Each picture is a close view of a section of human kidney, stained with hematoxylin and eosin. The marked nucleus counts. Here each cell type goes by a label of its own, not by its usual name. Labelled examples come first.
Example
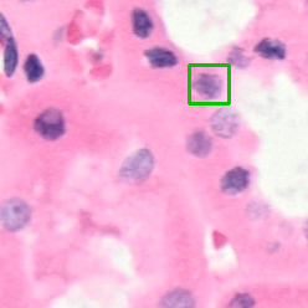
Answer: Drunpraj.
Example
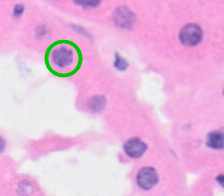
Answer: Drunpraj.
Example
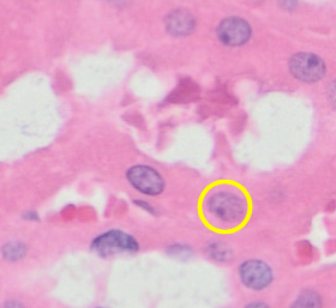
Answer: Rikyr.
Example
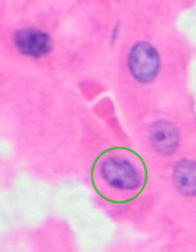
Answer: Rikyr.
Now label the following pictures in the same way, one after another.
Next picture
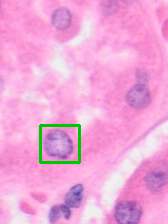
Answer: Rikyr.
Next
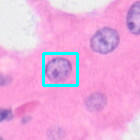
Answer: Rikyr.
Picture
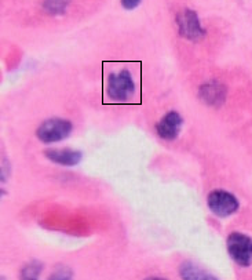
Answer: Drunpraj.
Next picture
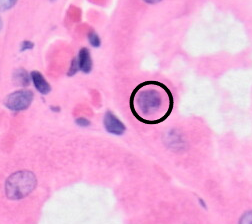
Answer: Rikyr.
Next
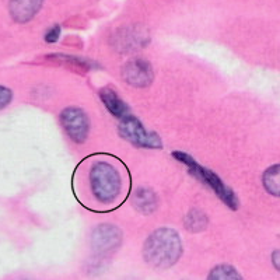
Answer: Drunpraj.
